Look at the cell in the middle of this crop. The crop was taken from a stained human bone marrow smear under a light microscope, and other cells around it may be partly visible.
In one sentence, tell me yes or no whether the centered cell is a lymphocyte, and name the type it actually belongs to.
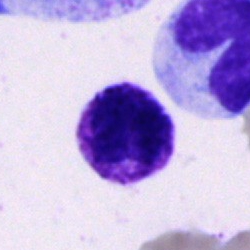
No, that would be a basophil, not a lymphocyte, for the cell at the centre.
